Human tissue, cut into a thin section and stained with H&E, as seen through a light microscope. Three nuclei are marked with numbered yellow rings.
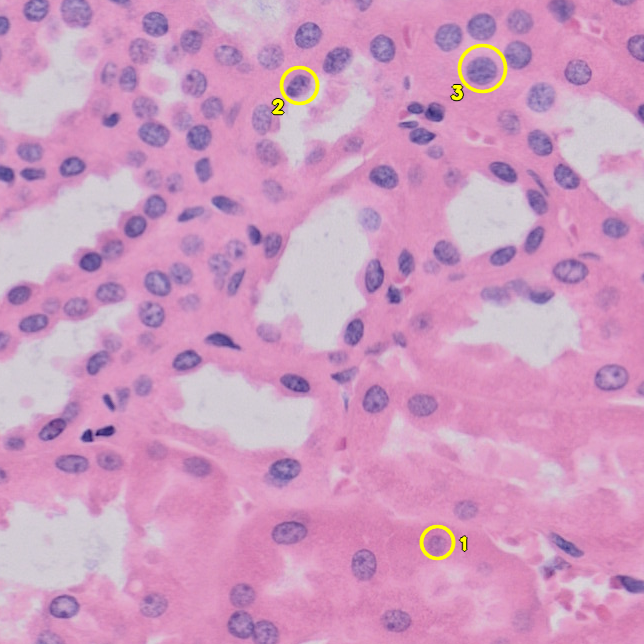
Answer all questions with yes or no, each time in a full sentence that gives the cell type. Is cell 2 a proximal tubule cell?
No, the cell with the number 2 is a loop of Henle or distal tubule cell, not a proximal tubule cell.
